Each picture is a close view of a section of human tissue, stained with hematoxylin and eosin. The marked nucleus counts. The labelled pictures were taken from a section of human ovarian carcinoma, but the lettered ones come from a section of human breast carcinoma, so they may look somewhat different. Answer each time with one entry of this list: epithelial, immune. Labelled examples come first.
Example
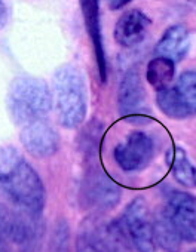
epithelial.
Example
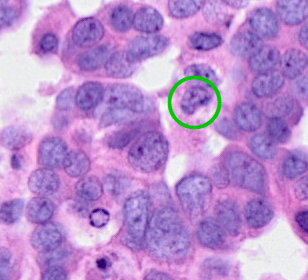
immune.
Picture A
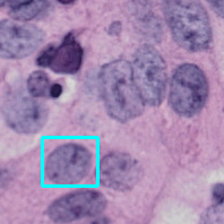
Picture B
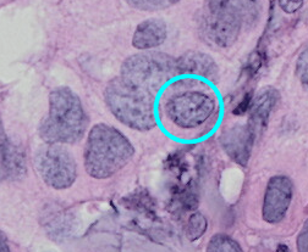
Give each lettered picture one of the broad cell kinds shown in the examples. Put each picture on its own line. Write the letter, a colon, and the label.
A: epithelial.
B: epithelial.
